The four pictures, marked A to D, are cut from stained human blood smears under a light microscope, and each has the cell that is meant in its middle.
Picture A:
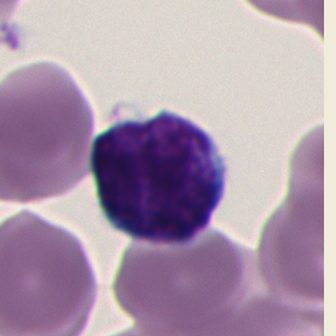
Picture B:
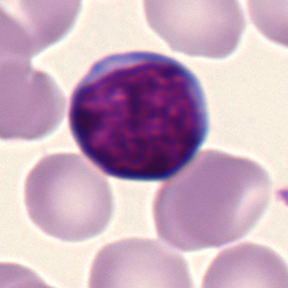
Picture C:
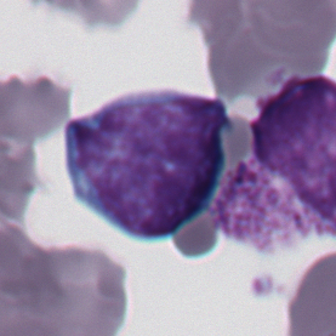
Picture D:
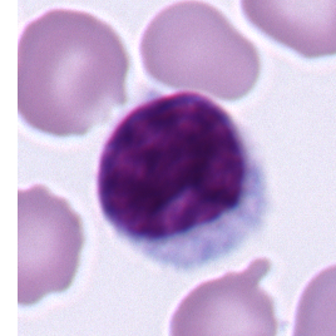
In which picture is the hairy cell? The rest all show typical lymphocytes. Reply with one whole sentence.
Picture D shows the hairy cell.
